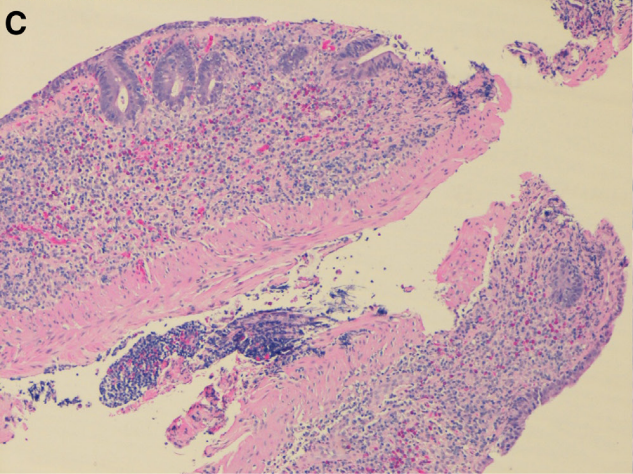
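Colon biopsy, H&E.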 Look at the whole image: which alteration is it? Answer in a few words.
Marked crypt loss.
